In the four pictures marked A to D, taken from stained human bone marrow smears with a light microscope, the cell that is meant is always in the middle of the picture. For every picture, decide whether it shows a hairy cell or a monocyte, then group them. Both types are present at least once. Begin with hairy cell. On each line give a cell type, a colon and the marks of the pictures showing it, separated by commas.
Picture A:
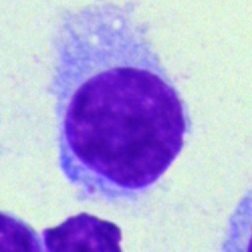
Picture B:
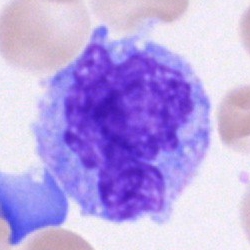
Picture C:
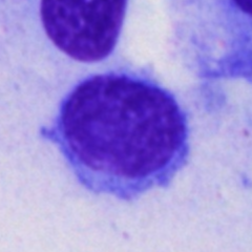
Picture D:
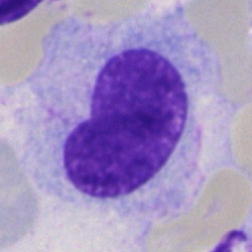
hairy cell: A, C, D
monocyte: B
